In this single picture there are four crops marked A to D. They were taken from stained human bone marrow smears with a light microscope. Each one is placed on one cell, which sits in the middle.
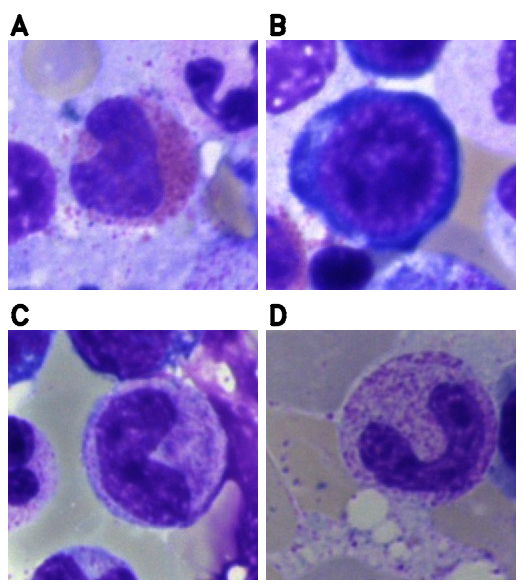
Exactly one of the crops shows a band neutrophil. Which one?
C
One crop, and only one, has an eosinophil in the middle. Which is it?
A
